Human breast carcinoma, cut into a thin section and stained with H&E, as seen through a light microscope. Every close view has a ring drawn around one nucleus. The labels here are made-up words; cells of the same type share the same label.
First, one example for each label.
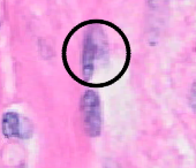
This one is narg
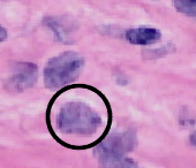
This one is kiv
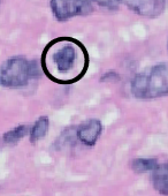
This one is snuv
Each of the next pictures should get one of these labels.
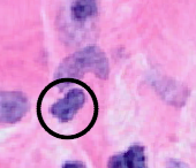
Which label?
snuv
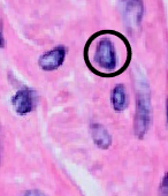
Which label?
narg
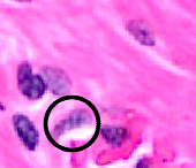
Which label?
narg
